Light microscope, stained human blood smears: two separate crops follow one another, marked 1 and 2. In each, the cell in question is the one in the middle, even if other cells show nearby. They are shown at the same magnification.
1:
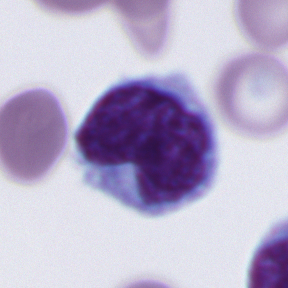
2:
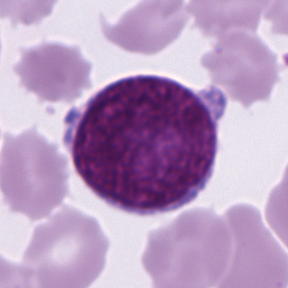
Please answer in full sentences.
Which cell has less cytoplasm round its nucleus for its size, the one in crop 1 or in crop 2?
Of the two, the nucleus in crop 2 makes up the greater part of its cell.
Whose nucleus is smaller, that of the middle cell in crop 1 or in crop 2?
It is the nucleus in crop 1; the one in crop 2 has about 1.5 times its area.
